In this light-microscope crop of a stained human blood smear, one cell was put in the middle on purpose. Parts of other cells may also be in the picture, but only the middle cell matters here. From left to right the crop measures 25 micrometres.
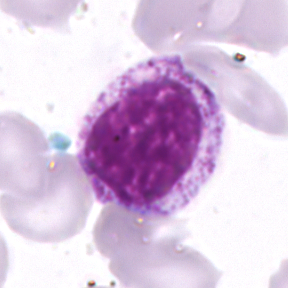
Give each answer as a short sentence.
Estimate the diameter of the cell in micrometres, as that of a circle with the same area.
About 13 micrometres: that is the cell's diameter.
